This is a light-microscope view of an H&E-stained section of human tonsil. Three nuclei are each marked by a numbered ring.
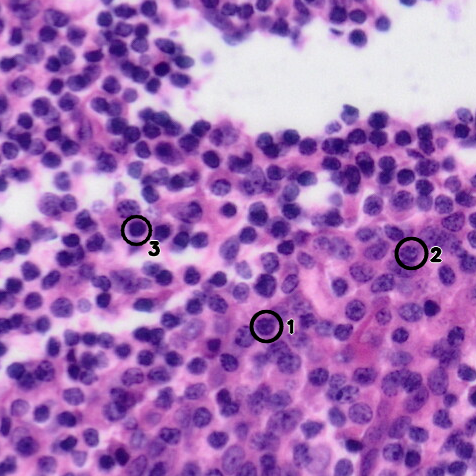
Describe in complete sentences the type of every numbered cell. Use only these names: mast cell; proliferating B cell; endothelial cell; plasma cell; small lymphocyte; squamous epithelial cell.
Cells 1 and 2 are plasma cells. Cell 3 is a small lymphocyte.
